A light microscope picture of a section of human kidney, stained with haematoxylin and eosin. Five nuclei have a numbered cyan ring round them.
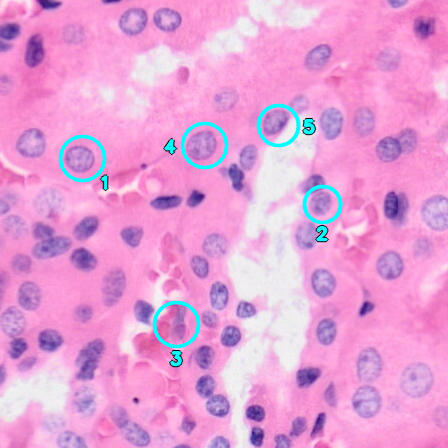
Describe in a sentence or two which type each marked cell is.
Cell 1 is a proximal tubule cell, cell 2 is a collecting duct cell, cell 3 is an endothelial cell, cell 4 is a proximal tubule cell and cell 5 is a loop of Henle or distal tubule cell.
